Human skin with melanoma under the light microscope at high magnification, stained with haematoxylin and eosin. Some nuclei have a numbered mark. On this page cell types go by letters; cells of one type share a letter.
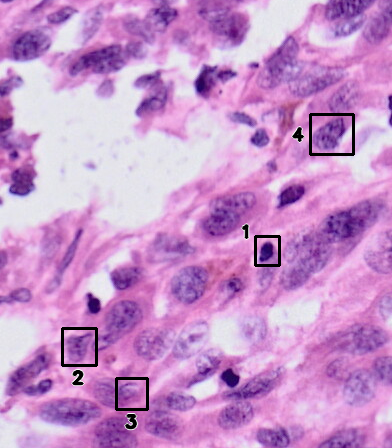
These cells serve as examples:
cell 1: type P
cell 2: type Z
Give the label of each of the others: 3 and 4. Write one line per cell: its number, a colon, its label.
3: type Z
4: type Z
